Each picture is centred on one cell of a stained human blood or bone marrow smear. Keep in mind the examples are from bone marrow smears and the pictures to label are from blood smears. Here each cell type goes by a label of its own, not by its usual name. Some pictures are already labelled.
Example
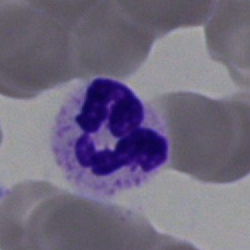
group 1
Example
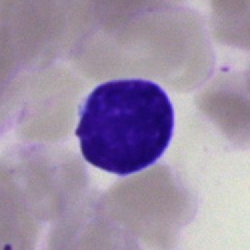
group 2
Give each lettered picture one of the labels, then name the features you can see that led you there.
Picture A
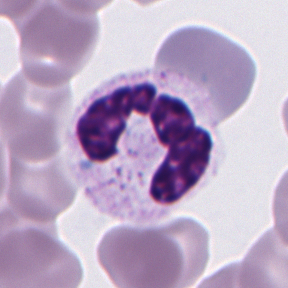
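group 1. Evidence: The cytoplasm is plentiful and pale pinkish-lilac.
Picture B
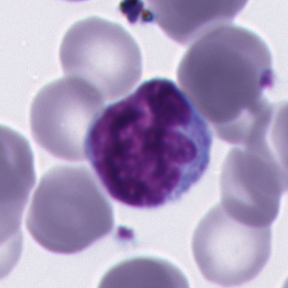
group 2. Evidence: The nucleus fills most of the cell.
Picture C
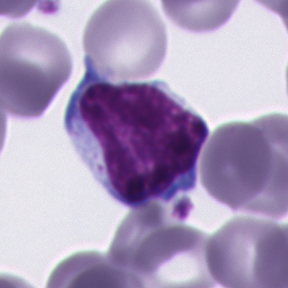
group 2. Evidence: The nucleus fills most of the cell and has an irregular, roughly triangular shape.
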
